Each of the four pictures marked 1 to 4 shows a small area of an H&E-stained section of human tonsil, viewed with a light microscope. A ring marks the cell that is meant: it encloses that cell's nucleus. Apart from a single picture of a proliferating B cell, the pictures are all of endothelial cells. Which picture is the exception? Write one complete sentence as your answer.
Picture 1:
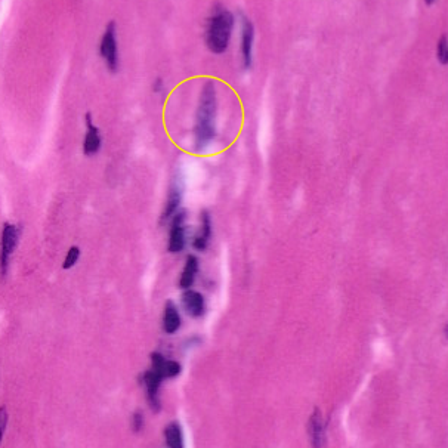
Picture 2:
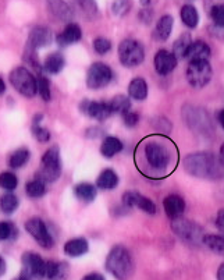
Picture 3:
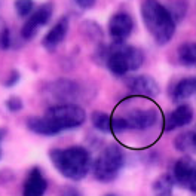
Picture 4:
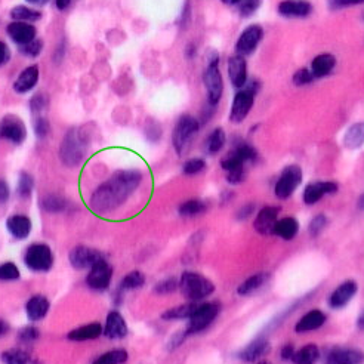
The cell in picture 3 is the proliferating B cell.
